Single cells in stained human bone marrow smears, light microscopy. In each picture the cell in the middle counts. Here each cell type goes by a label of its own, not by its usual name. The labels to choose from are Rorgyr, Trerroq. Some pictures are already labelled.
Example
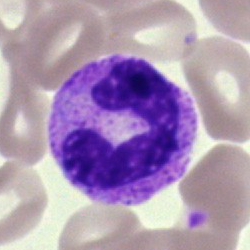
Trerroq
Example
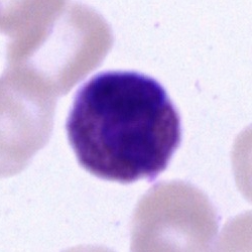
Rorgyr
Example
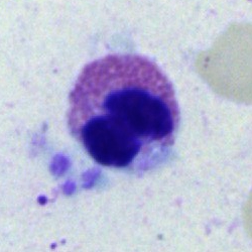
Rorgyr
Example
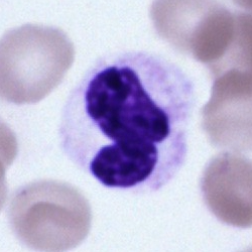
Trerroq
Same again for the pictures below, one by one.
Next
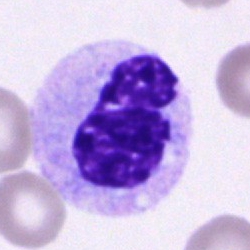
Trerroq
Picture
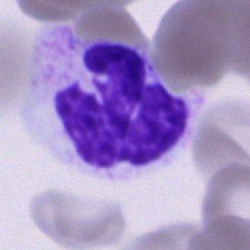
Trerroq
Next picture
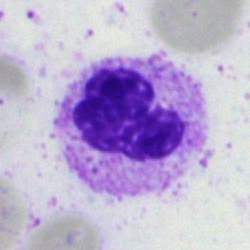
Trerroq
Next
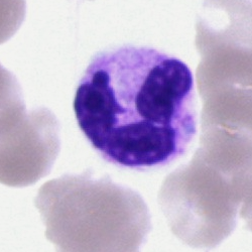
Trerroq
